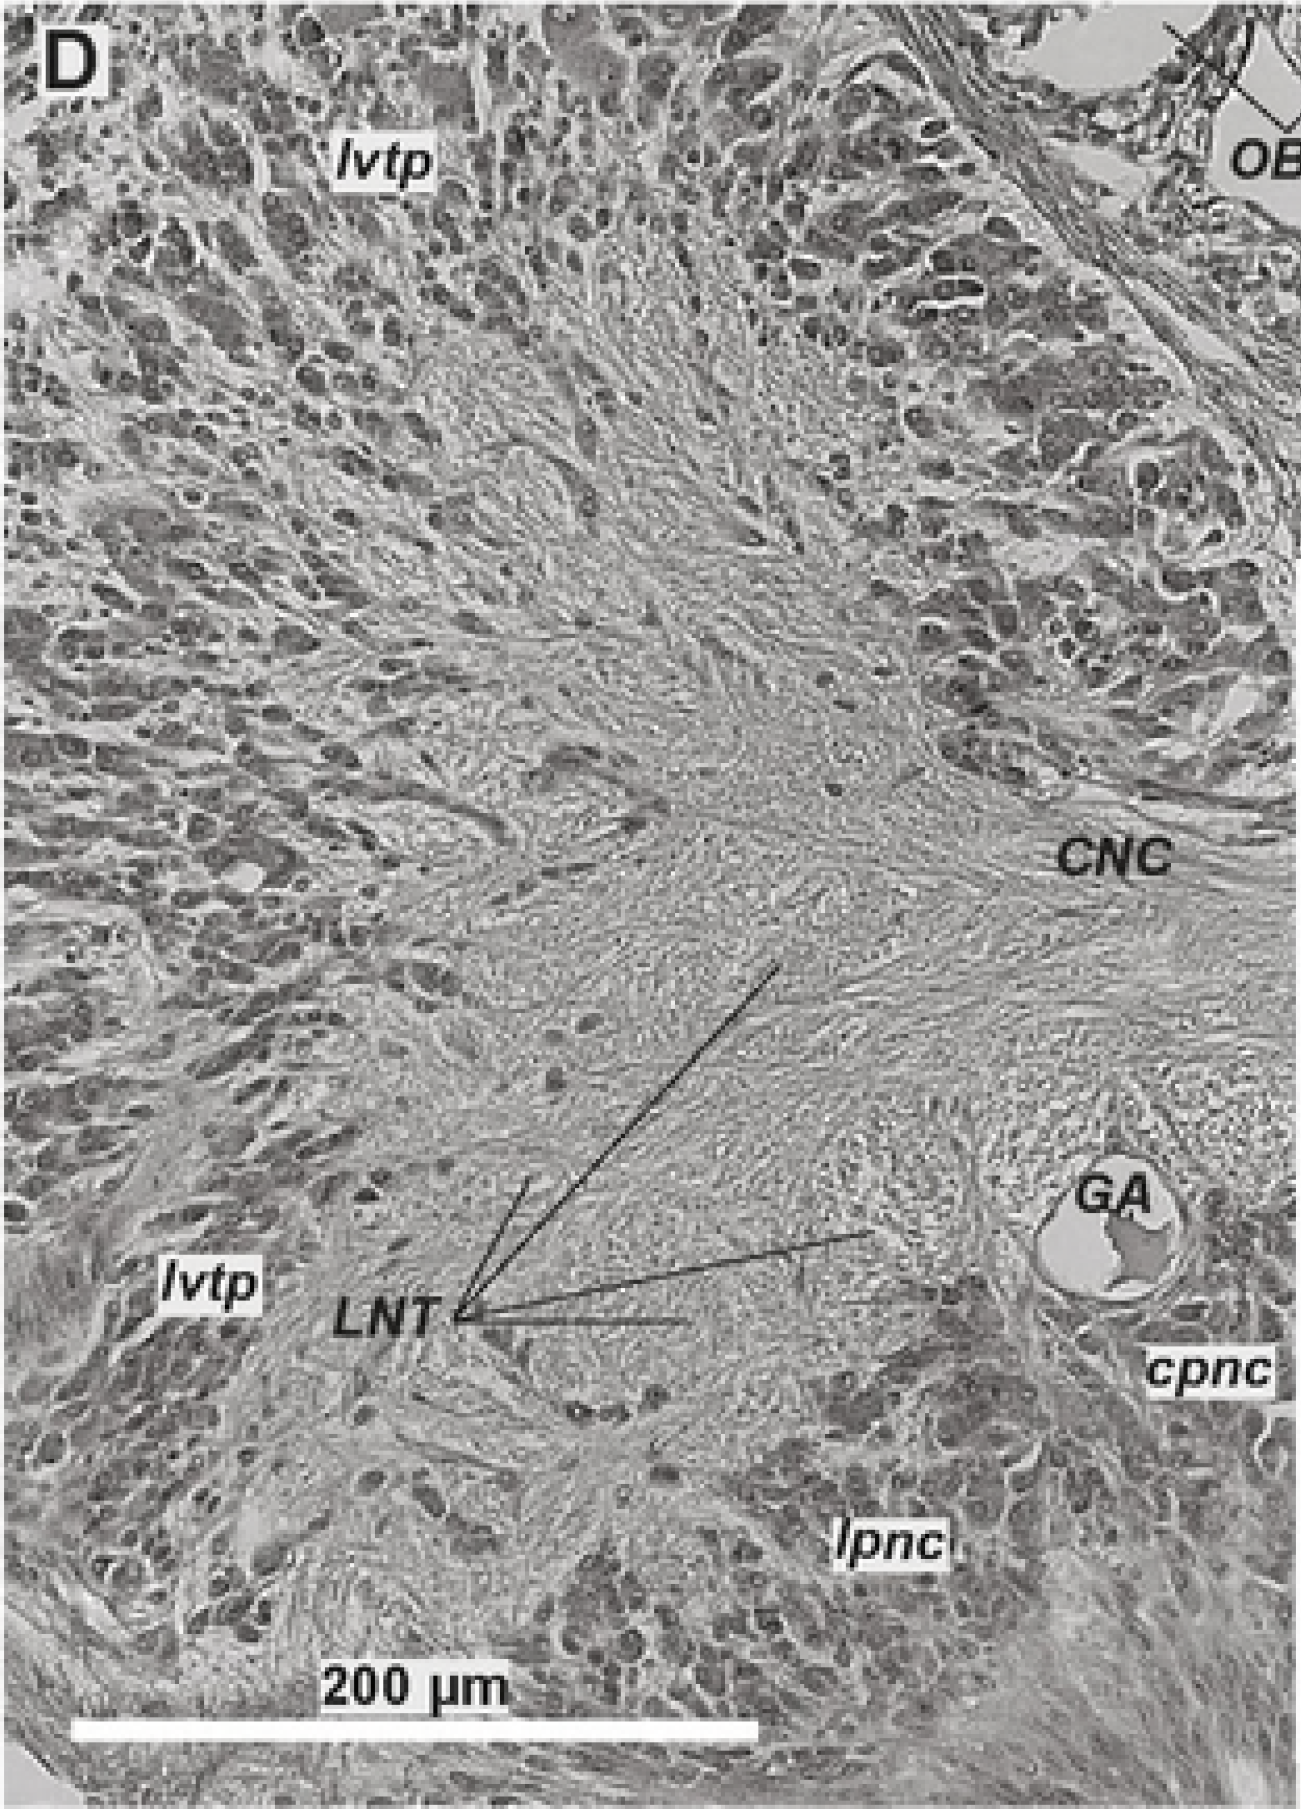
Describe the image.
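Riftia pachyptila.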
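A pale, finely fibrous central area is made of bundles of neurites. Streaks of fibres radiate out of it toward the periphery. Around it lie groups of darker, irregular cell bodies with rounded nuclei. These groups are clusters of nerve cell perikarya. Near one edge there is a round, hollow profile with a thin wall.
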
